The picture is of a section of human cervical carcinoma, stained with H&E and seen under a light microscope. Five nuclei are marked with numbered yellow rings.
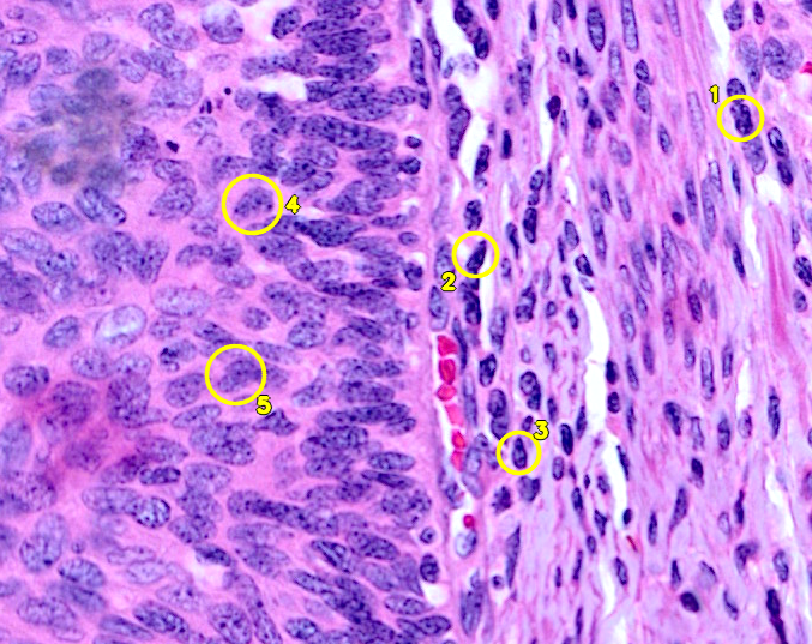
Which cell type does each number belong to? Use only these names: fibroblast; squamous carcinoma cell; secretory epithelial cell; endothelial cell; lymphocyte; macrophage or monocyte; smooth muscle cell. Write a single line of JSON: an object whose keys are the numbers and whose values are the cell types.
{"1": "lymphocyte", "2": "lymphocyte", "3": "lymphocyte", "4": "squamous carcinoma cell", "5": "squamous carcinoma cell"}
